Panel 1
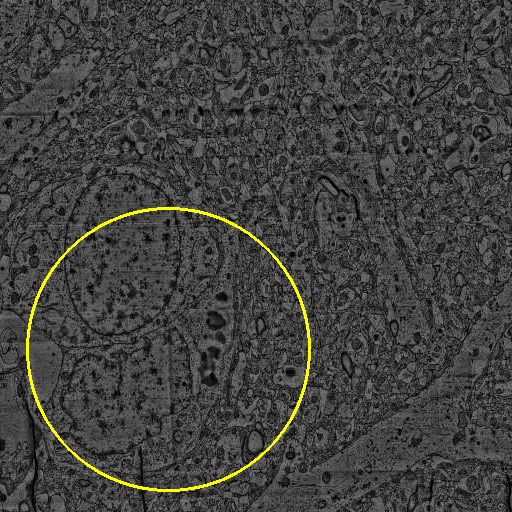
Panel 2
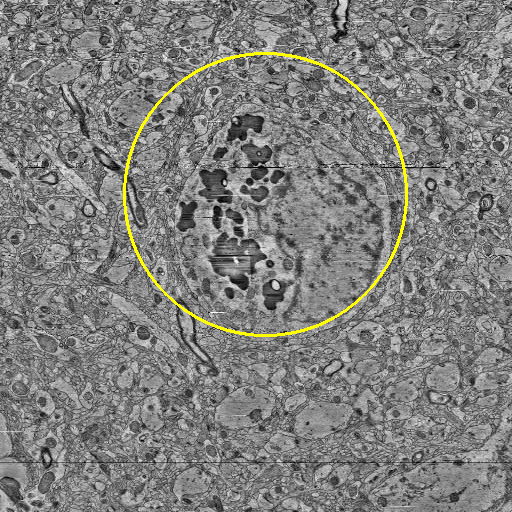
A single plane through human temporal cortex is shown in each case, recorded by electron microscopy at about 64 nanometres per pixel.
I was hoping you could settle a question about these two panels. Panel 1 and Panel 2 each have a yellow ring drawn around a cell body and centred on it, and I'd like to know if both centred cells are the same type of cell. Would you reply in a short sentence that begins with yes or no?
Yes, both are the same type of cell.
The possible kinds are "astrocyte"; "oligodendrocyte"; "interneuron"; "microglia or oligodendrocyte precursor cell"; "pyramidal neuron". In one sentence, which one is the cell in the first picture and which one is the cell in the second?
Each of the two cells is an interneuron.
